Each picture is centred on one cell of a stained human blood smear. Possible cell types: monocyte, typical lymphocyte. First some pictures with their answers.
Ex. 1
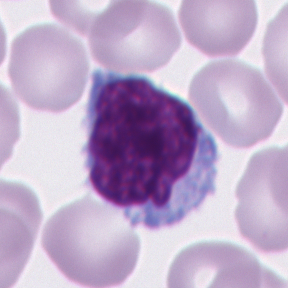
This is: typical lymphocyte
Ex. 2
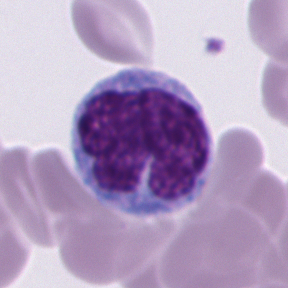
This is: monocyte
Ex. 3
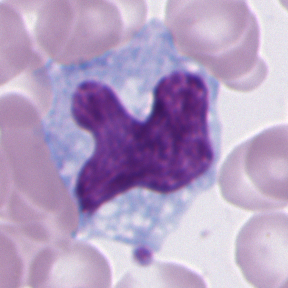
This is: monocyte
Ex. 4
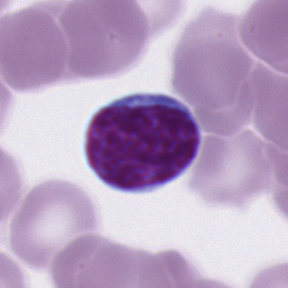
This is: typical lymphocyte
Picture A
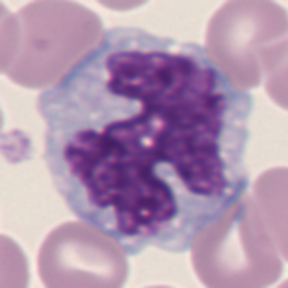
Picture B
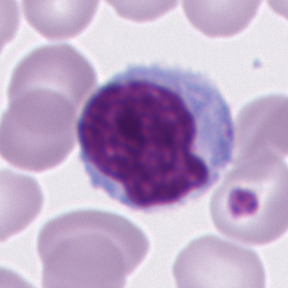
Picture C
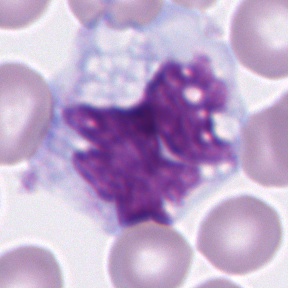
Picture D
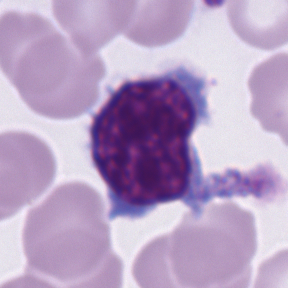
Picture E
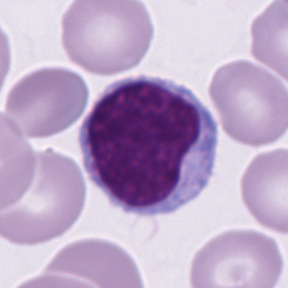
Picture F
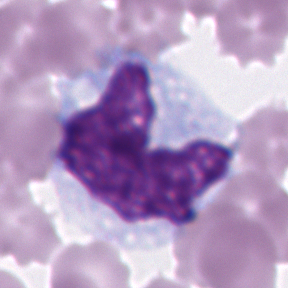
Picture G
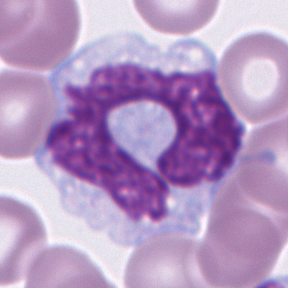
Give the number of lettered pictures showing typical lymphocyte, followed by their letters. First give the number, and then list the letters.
Count: 3 (B, D, E)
